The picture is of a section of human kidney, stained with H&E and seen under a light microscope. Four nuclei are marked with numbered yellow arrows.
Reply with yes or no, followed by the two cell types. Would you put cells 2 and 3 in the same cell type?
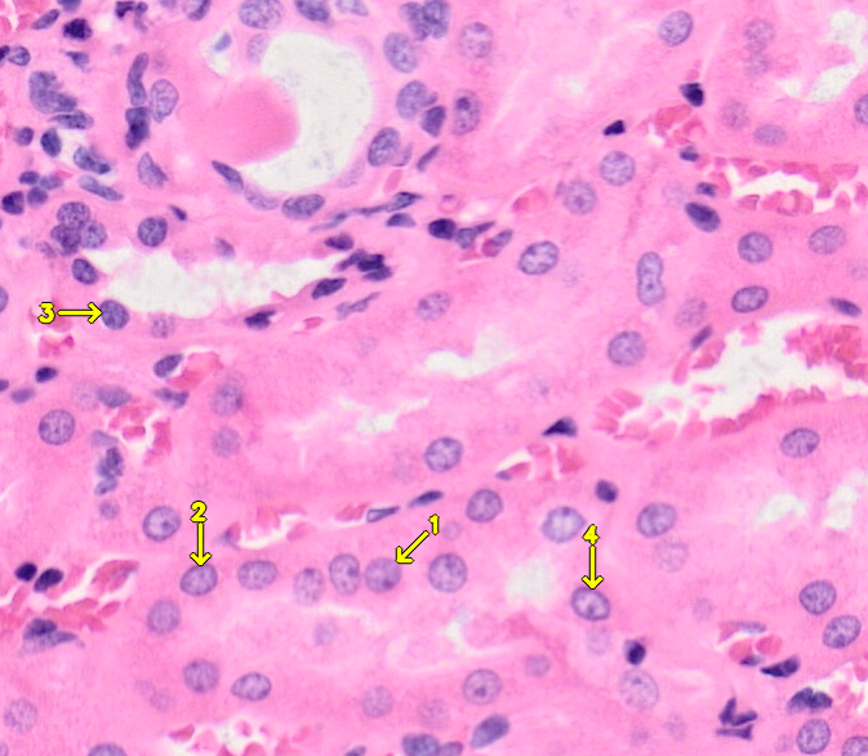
No, a proximal tubule cell is what cell 2 is, and a loop of Henle or distal tubule cell is what cell 3 is.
